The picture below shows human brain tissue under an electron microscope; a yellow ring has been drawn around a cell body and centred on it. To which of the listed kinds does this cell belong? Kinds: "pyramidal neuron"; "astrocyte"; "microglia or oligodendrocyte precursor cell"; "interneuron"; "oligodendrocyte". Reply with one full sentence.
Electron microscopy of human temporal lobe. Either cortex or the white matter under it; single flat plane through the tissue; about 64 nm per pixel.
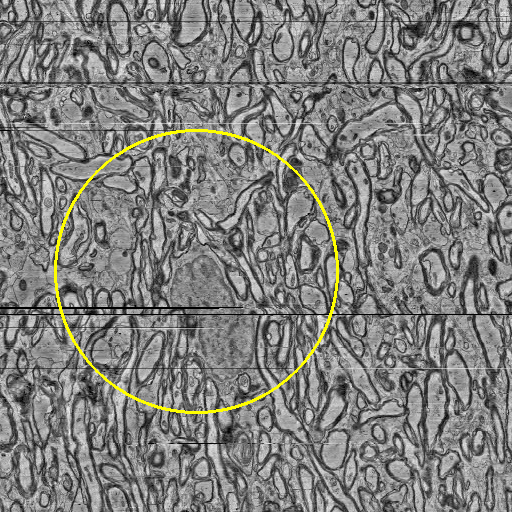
It is an oligodendrocyte that the yellow ring in the picture is centred on.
